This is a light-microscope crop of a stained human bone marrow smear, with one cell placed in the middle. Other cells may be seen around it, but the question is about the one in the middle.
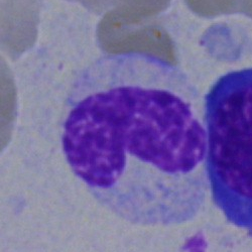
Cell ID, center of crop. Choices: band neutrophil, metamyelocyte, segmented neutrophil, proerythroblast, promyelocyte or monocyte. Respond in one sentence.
The crop centres on a single cell, and that cell is a metamyelocyte.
